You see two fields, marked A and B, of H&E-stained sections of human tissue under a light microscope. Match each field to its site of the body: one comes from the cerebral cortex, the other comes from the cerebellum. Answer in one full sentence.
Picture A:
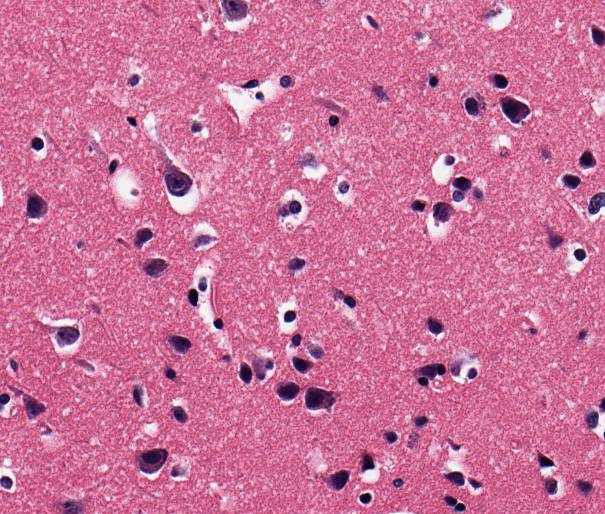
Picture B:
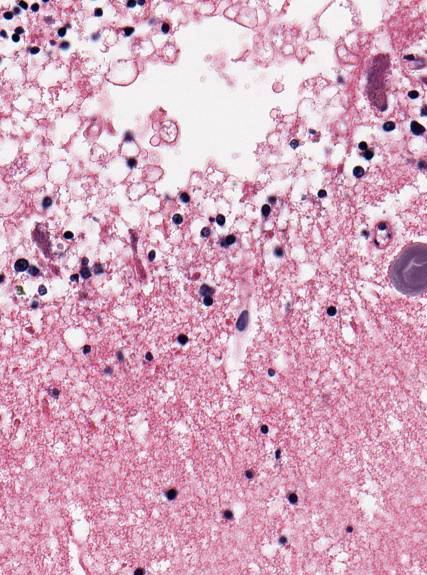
It is picture A that comes from the cerebral cortex, and picture B that comes from the cerebellum.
